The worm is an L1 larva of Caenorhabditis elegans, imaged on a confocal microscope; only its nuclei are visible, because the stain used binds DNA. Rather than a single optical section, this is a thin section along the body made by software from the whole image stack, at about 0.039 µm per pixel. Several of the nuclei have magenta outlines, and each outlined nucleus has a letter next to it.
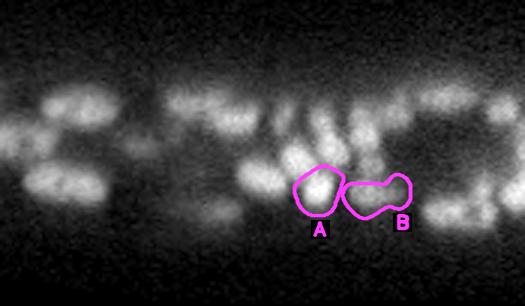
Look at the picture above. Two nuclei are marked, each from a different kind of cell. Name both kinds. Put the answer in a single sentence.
Nucleus A comes from a neuron and nucleus B from a body wall muscle cell.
